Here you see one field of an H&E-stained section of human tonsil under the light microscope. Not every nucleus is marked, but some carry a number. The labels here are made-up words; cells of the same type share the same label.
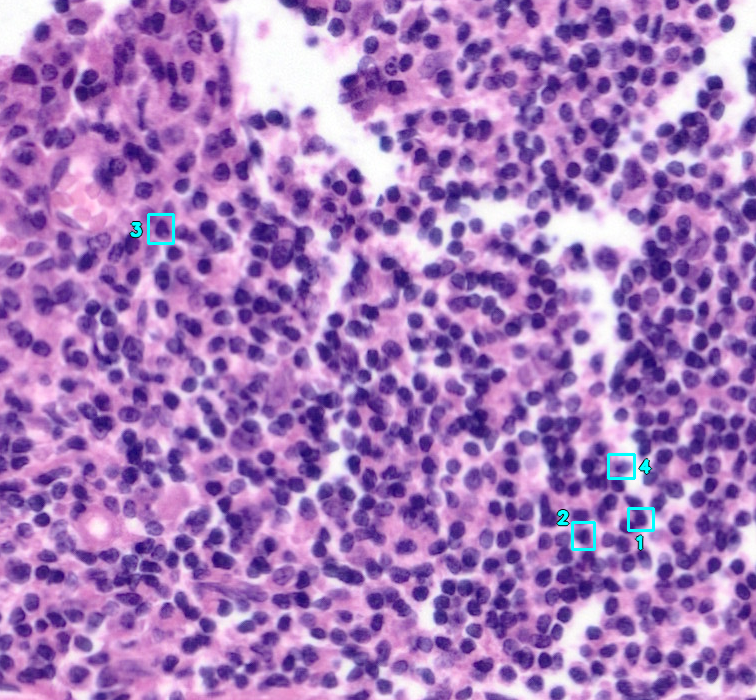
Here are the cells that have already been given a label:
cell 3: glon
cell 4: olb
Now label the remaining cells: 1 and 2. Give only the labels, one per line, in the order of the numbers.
olb
olb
